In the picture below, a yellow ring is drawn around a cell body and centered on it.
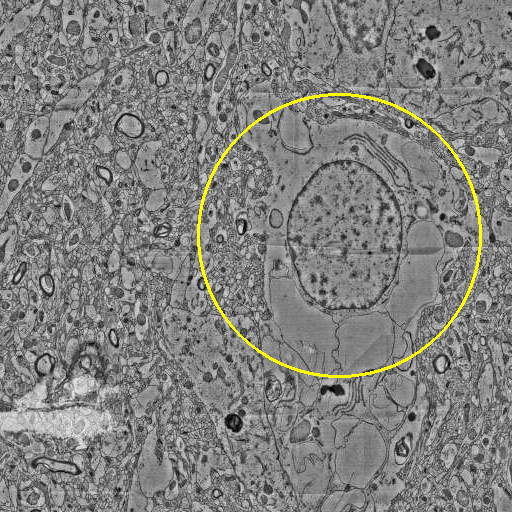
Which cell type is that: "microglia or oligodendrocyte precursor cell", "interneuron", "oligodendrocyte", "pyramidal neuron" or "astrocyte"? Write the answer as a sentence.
The cell centered in the ring is an astrocyte.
